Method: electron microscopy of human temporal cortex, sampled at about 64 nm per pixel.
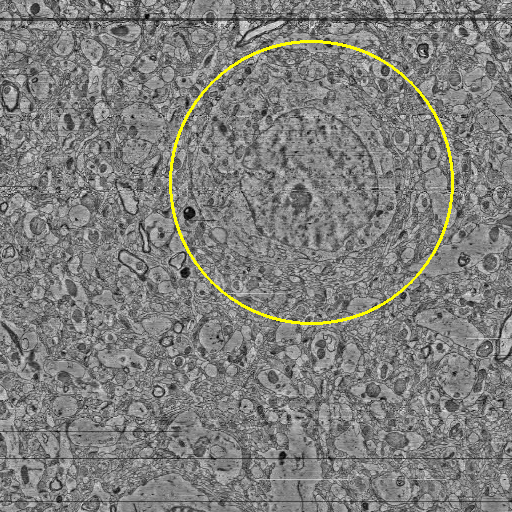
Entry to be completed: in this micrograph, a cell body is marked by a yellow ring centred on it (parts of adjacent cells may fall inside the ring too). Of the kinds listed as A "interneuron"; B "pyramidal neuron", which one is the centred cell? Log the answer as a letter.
A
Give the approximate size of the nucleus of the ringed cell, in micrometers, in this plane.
In this plane, the nucleus measures approximately 9 micrometres across.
